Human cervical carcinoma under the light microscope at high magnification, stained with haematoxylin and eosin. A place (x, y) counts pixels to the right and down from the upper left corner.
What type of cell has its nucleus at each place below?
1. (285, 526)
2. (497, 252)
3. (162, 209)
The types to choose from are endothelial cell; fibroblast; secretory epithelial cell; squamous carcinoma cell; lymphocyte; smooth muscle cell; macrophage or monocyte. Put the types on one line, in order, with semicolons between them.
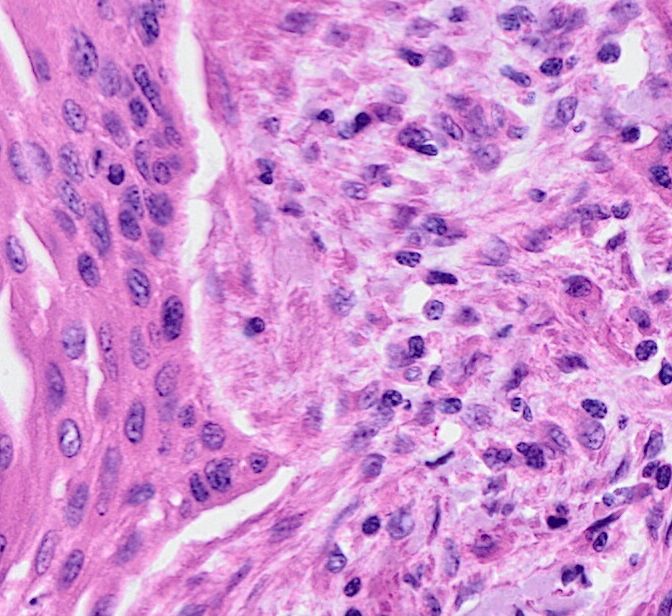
fibroblast; fibroblast; squamous carcinoma cell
